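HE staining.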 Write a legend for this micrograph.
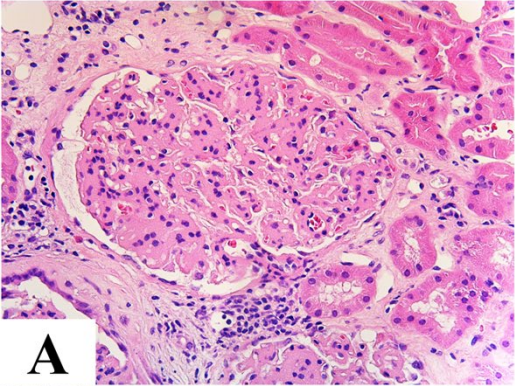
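An enlarged glomerulus fills most of the field, its tuft crowded with many dark blue nuclei set in pink material and divided into lobules, leaving only a narrow clear capsular space. A few red blood cells lie in scattered capillary loops. Pink-staining tubules with cuboidal epithelial cells surround the glomerulus, and a cluster of small dark round inflammatory cells sits in the interstitium just below it.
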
